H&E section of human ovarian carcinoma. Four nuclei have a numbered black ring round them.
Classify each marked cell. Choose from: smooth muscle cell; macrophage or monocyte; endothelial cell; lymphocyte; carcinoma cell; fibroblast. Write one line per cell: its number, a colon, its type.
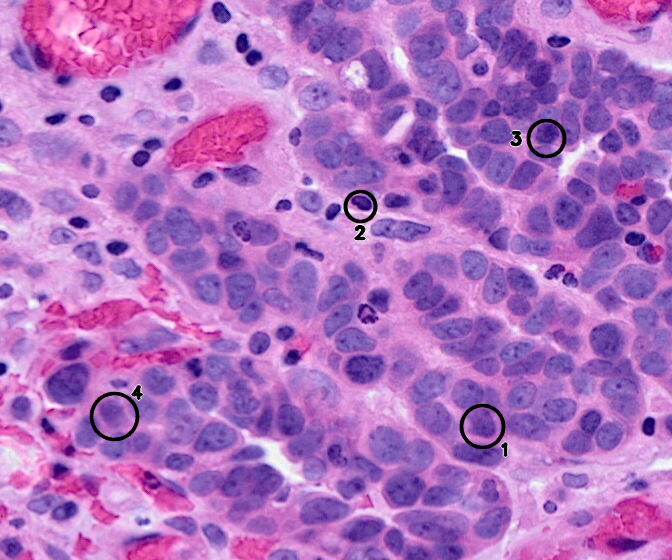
1: carcinoma cell
2: lymphocyte
3: carcinoma cell
4: carcinoma cell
